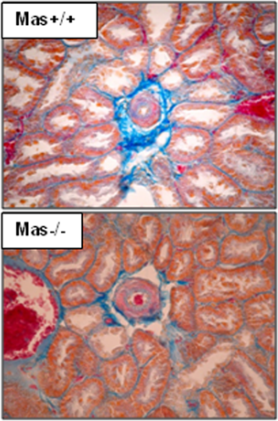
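Both images show kidney tissue with tubules cut in cross section, their epithelium stained orange-brown and their lumens pale. At the centre of each lies a small vessel with a thick wall, ringed by bright blue-staining material that extends into the spaces between neighbouring tubules. The blue band is broader and more extensive in one image than the other, and one image also shows a red-filled vessel at its edge.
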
